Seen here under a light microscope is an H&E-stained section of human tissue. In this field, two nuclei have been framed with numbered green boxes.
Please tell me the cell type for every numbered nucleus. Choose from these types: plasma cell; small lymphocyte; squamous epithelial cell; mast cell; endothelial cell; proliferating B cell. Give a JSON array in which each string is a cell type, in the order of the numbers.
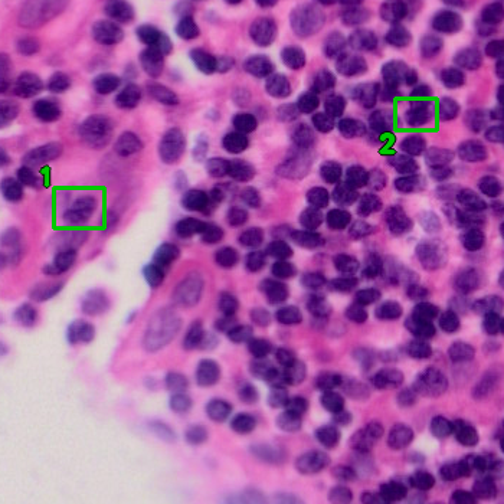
["endothelial cell", "small lymphocyte"]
